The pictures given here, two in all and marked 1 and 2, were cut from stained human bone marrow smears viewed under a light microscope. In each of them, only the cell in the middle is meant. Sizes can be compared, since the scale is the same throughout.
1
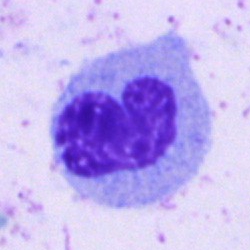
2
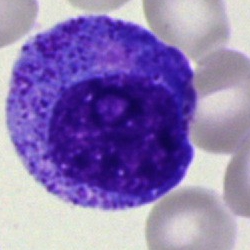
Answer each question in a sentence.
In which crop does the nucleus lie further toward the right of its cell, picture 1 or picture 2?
In picture 2 the nucleus is shifted more toward the right.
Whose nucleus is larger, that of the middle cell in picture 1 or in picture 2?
It is the nucleus in picture 2, about 1.5 times as large in area as the one in picture 1.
